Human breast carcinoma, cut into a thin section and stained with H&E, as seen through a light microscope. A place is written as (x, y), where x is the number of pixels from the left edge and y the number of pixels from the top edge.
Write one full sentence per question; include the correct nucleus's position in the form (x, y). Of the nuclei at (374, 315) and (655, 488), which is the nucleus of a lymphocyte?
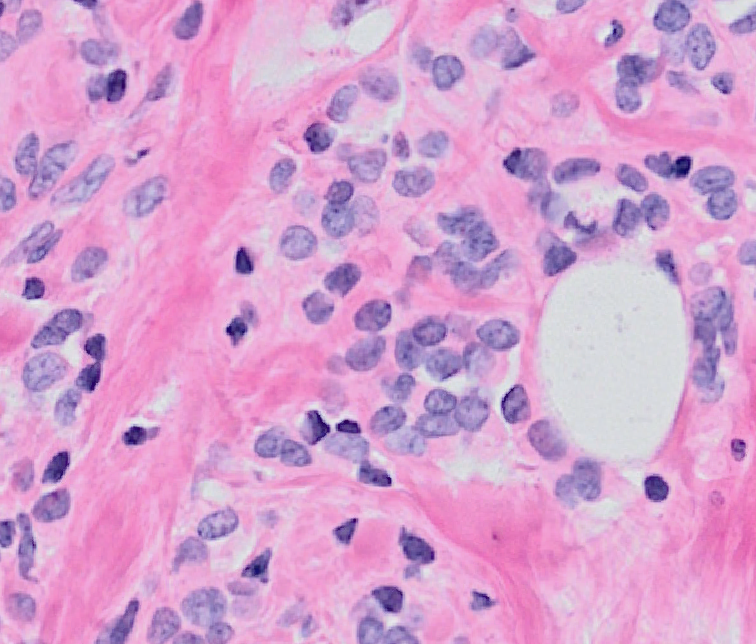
Among the two nuclei, the one lying at (655, 488) is part of a lymphocyte.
